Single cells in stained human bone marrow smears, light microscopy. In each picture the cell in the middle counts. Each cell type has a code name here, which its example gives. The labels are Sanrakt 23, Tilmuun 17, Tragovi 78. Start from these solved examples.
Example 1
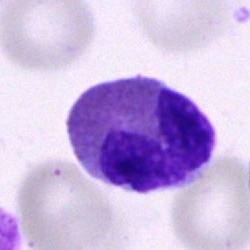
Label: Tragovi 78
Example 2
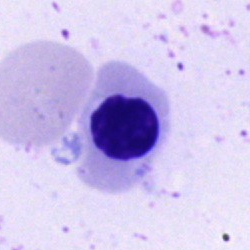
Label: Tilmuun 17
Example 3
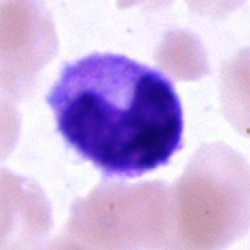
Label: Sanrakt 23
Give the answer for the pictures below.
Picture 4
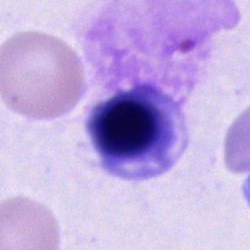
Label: Tilmuun 17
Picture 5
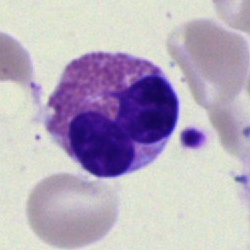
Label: Tragovi 78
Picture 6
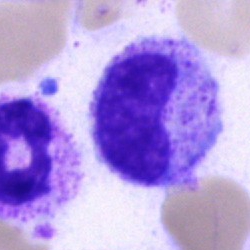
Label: Sanrakt 23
